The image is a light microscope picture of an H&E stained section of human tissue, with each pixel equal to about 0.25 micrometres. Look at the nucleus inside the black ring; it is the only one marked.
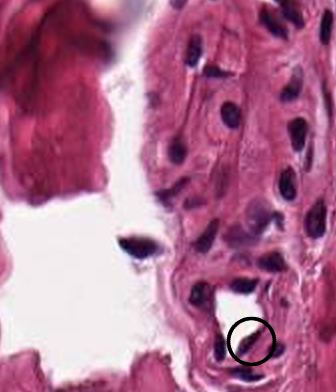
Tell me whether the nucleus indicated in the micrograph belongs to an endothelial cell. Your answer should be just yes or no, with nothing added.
yes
